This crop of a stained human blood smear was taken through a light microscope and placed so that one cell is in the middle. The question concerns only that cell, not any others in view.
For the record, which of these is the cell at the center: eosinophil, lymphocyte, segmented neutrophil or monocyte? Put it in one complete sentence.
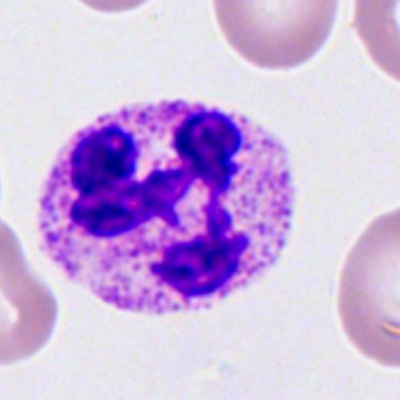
In the central position of this crop, the cell is a segmented neutrophil.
